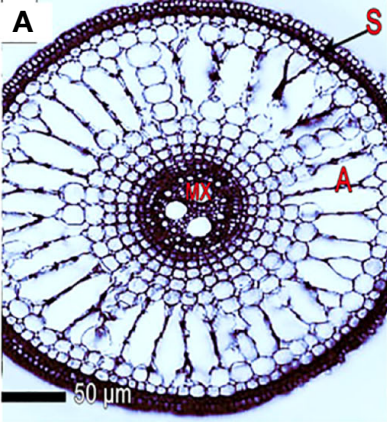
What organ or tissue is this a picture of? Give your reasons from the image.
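Root. A circular cross section with a small central vascular cylinder. A wide cortex of radiating cell strands around the centre. A thick dark outer band of small cells.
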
